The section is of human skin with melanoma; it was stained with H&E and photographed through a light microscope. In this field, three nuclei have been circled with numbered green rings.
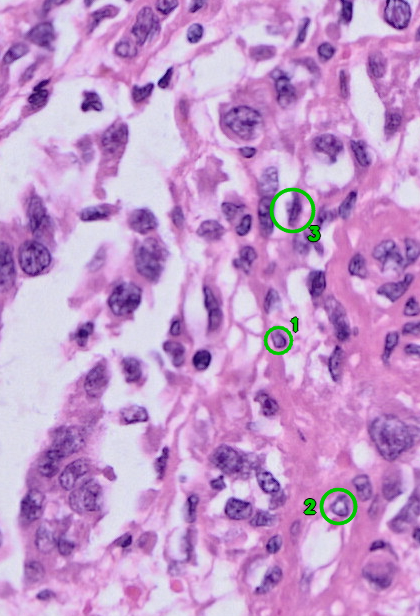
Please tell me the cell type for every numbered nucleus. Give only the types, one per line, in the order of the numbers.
macrophage or monocyte
endothelial cell
melanoma cell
